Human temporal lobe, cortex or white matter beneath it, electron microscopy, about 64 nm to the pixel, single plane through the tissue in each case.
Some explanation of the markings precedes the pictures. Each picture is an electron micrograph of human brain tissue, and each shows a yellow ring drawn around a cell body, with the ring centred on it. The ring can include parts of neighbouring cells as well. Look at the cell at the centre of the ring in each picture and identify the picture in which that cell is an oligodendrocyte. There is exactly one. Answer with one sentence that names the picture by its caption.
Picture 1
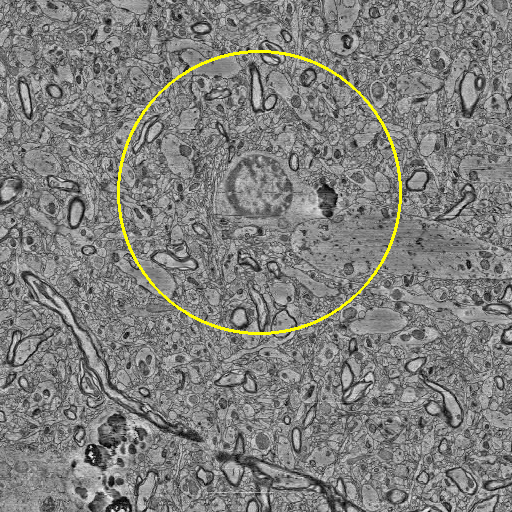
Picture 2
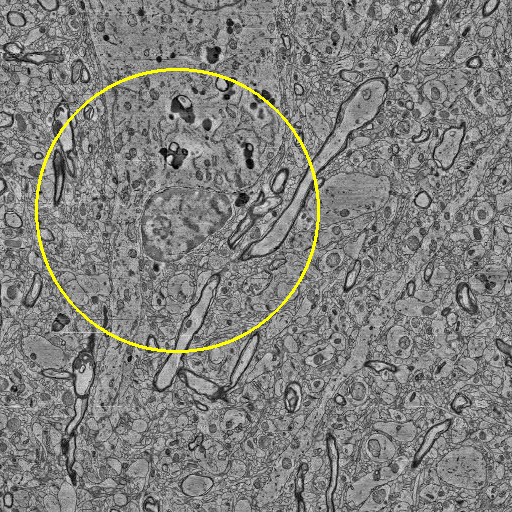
In Picture 1, the cell at the centre of the ring is of that kind.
